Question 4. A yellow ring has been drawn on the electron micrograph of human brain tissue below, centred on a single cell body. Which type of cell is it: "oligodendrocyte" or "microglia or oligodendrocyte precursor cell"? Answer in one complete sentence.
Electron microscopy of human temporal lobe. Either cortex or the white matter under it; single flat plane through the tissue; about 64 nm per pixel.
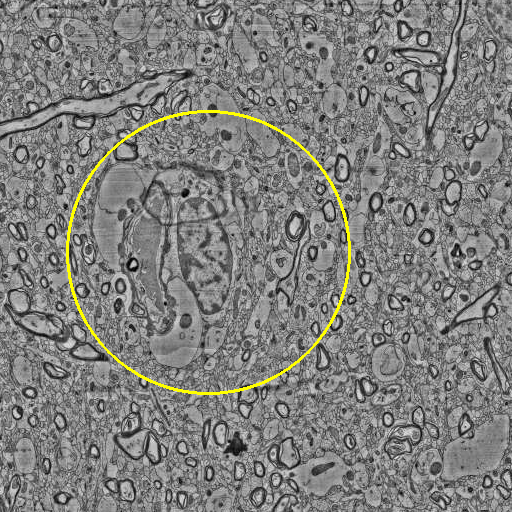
This cell body belongs to a microglial cell or oligodendrocyte precursor cell.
